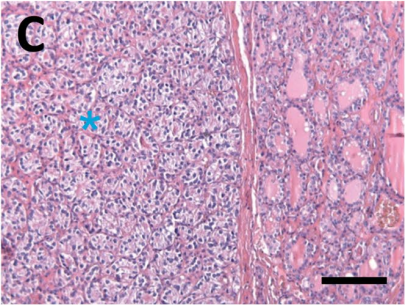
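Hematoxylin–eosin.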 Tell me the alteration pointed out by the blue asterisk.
follicular adenoma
